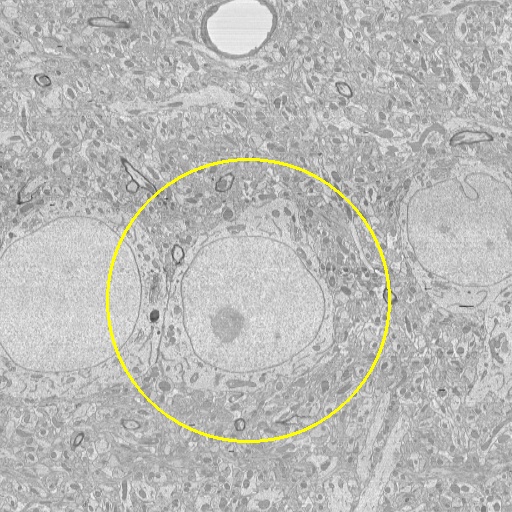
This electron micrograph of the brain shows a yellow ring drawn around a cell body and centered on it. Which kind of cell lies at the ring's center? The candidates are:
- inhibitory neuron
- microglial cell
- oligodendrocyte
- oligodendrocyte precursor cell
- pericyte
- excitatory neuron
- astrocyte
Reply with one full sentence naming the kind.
The cell lying at the ring's center in this micrograph is an excitatory neuron.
